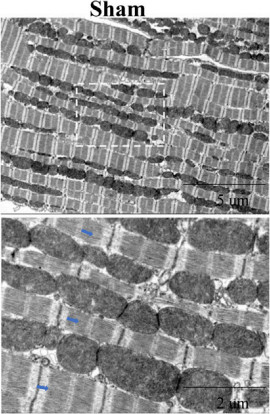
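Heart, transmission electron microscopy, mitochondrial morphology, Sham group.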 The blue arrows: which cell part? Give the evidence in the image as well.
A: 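Blue arrows point at the striated bands running between rows of mitochondria. The bands show regular cross-striations. That points to this answer: myofilaments.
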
